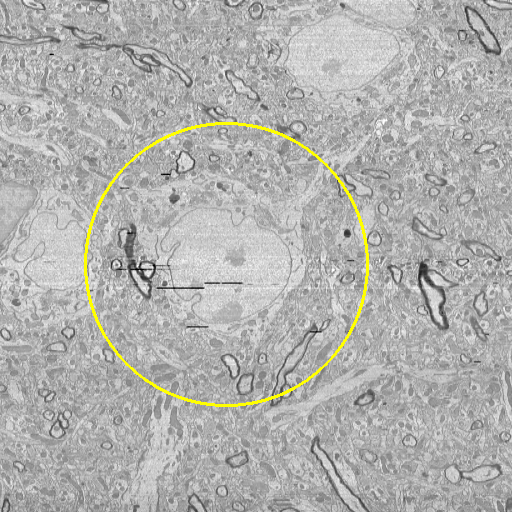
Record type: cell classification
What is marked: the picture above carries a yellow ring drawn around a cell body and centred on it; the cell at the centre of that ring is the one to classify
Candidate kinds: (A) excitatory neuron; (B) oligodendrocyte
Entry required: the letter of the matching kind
A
